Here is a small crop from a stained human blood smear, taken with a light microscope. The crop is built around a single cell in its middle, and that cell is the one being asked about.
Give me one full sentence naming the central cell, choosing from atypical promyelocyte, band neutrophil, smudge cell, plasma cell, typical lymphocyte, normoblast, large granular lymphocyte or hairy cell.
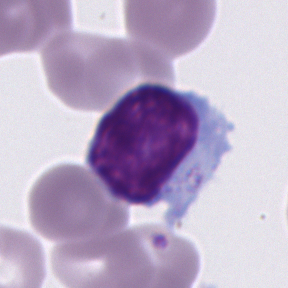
The cell positioned in the middle of the field is a large granular lymphocyte.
